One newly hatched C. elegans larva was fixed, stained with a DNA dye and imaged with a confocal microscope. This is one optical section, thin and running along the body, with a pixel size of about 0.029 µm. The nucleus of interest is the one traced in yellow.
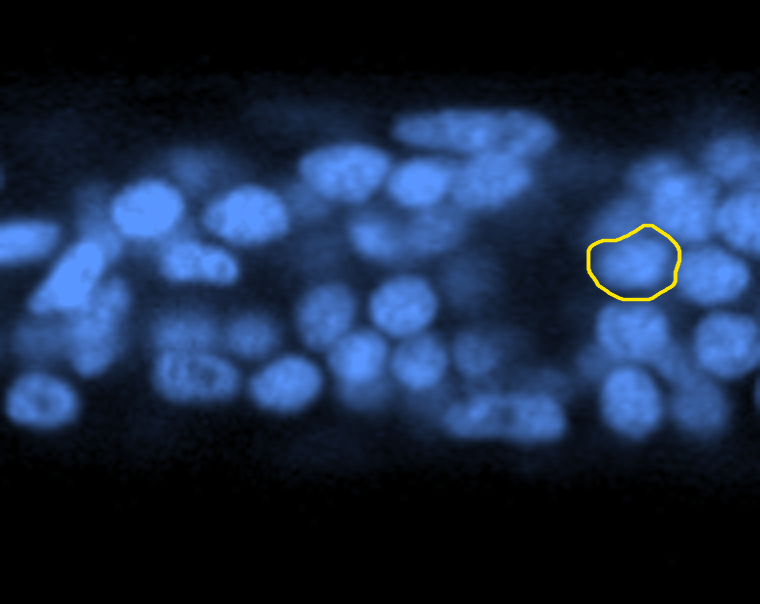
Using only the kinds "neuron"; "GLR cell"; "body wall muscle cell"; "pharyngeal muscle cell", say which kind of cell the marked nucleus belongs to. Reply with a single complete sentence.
This is the nucleus of a GLR cell.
